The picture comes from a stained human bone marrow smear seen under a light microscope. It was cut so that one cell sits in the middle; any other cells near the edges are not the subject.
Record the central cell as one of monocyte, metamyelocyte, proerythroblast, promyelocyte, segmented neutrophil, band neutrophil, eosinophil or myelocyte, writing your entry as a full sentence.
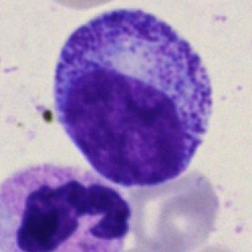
This crop has a myelocyte at its centre.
